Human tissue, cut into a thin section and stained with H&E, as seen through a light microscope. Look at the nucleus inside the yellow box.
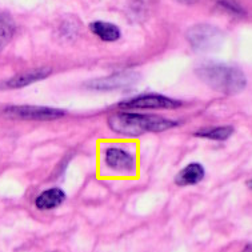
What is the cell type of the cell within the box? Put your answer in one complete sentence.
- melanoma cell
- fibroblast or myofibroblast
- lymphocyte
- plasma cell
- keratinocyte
The identity of the cell within the box: it is a lymphocyte.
